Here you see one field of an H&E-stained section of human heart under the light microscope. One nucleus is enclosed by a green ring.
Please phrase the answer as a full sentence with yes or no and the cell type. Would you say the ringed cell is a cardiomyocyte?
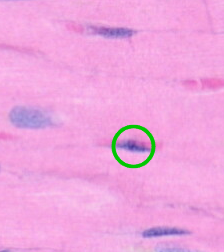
No, the ringed cell is to be classified as an endothelial cell rather than a cardiomyocyte.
